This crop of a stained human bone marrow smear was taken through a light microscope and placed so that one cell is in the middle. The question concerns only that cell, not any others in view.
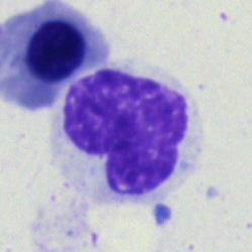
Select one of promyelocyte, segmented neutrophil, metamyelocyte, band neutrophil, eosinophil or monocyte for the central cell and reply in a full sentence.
In the centre of this crop there is a metamyelocyte.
